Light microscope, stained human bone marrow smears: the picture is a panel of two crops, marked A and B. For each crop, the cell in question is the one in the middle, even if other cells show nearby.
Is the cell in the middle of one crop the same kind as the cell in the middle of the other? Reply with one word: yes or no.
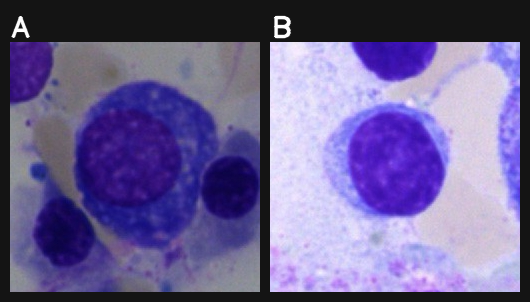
no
